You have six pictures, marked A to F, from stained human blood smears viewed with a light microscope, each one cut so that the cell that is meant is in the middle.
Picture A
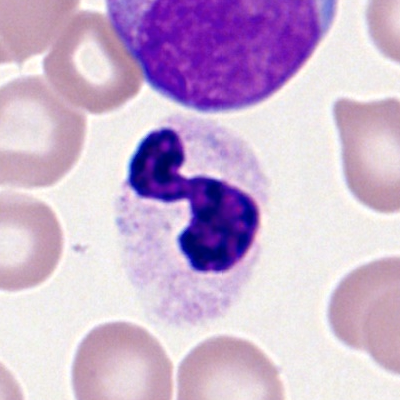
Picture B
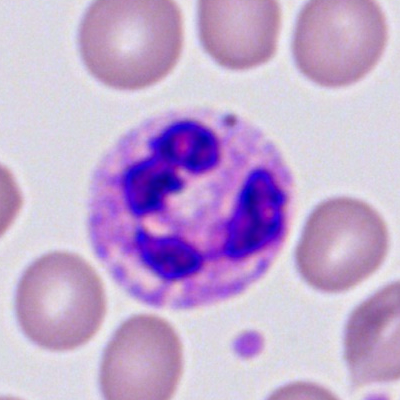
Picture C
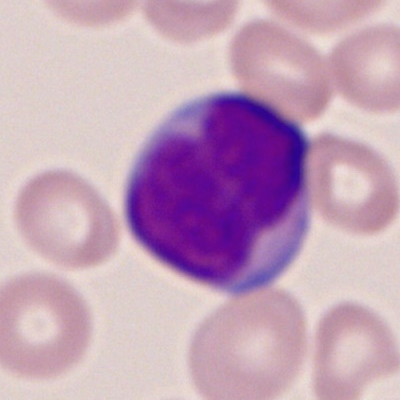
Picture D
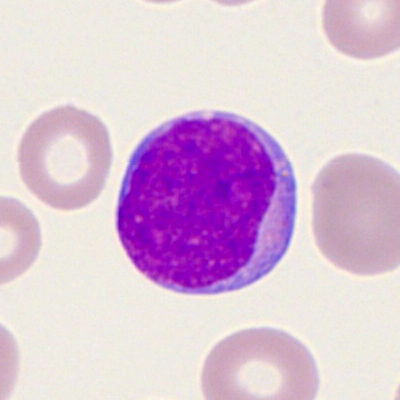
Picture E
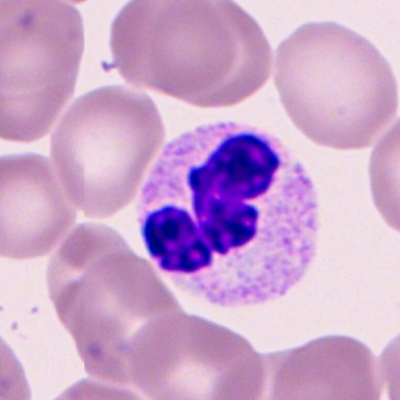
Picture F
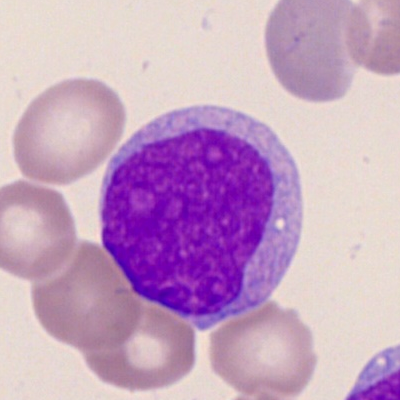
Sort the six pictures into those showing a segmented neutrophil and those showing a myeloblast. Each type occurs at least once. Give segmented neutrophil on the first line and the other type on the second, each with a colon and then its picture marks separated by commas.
segmented neutrophil: A, B, E
myeloblast: C, D, F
